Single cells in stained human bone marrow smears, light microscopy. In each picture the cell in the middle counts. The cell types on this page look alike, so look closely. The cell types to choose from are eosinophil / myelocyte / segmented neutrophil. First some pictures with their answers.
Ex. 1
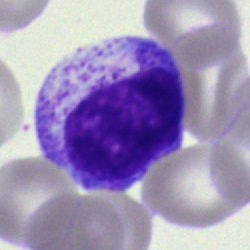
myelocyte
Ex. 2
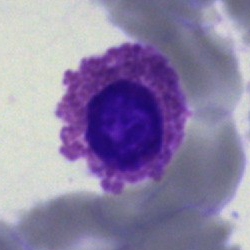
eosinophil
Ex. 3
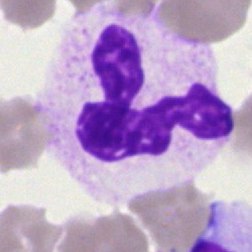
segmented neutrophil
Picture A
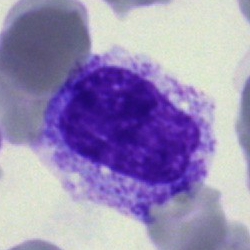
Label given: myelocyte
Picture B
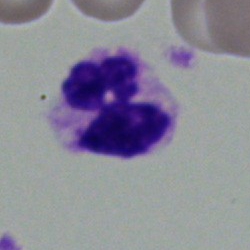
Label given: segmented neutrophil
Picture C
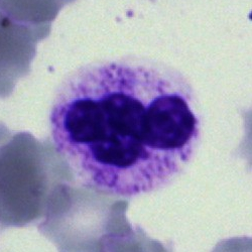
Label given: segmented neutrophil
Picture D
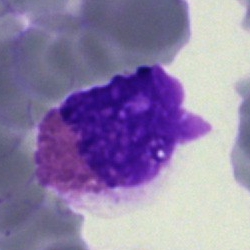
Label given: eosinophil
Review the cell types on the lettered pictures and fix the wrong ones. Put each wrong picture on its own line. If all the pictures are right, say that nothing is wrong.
All labels are correct.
